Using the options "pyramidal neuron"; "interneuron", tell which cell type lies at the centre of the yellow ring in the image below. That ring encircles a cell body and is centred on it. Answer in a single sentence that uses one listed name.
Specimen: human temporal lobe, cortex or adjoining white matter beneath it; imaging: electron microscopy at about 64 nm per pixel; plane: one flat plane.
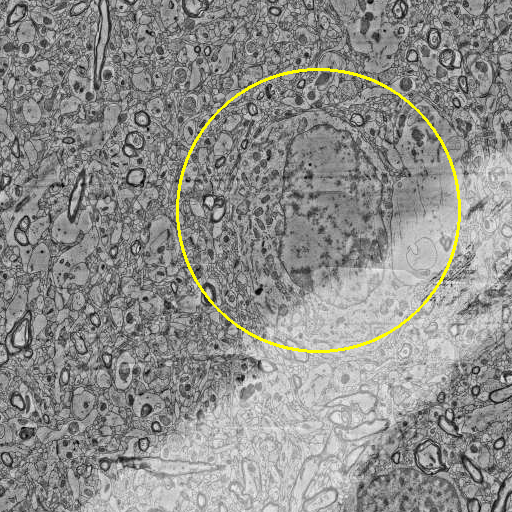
At the centre of the yellow ring lies the body of an interneuron.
